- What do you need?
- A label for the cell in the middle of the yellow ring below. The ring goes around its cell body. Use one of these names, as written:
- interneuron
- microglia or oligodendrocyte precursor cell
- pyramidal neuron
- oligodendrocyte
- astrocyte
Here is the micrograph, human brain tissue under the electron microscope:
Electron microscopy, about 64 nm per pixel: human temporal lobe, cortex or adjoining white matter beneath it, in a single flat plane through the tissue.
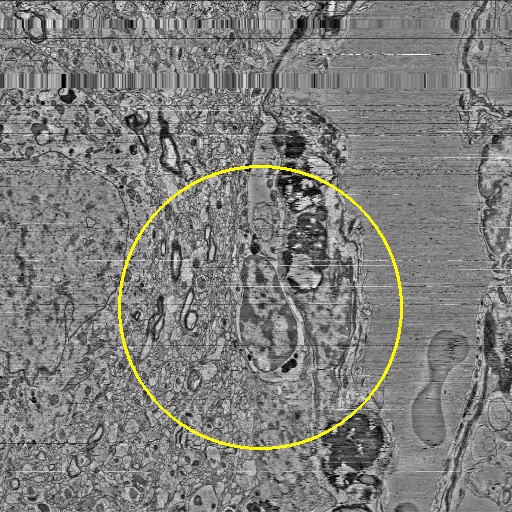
microglia or oligodendrocyte precursor cell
